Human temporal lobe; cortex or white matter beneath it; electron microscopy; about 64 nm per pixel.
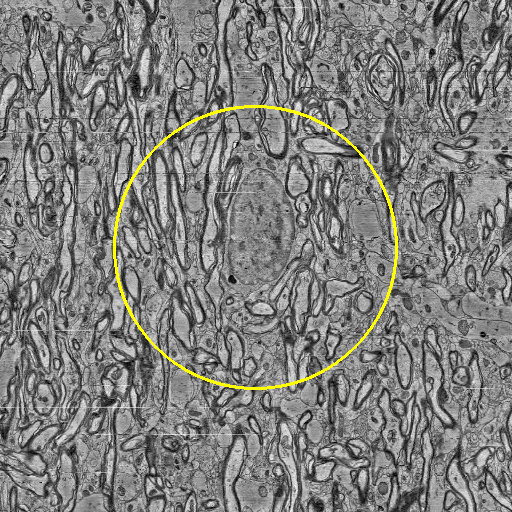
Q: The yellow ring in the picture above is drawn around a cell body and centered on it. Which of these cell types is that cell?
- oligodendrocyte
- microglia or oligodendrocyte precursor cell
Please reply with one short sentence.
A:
The cell body at the ring's center belongs to an oligodendrocyte.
